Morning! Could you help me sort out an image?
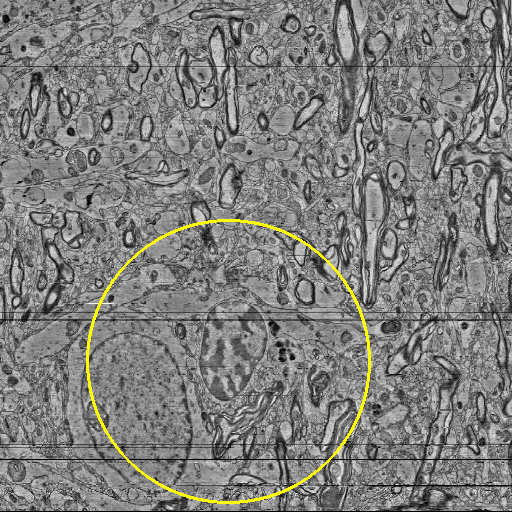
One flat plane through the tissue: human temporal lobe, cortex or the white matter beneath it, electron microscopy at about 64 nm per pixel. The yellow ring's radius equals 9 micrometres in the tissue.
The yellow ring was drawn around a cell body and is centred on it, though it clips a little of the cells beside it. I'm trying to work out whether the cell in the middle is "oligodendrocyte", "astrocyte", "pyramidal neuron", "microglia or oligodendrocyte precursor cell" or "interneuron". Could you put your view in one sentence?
The ringed cell body is that of a microglial cell or oligodendrocyte precursor cell.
